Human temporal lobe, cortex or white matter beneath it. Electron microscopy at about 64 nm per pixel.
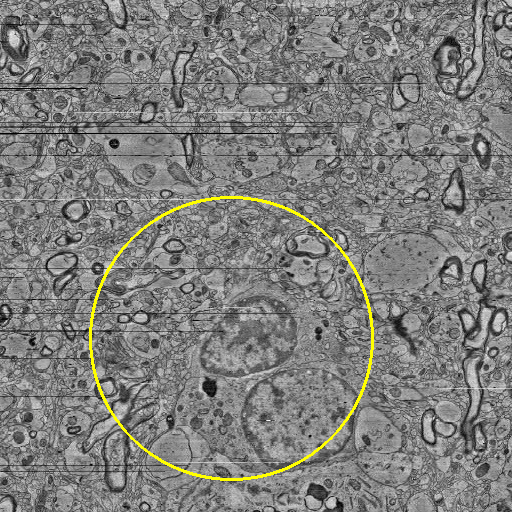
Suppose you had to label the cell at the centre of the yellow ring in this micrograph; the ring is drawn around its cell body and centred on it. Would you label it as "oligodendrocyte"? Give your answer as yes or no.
Yes, I would label it that way.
